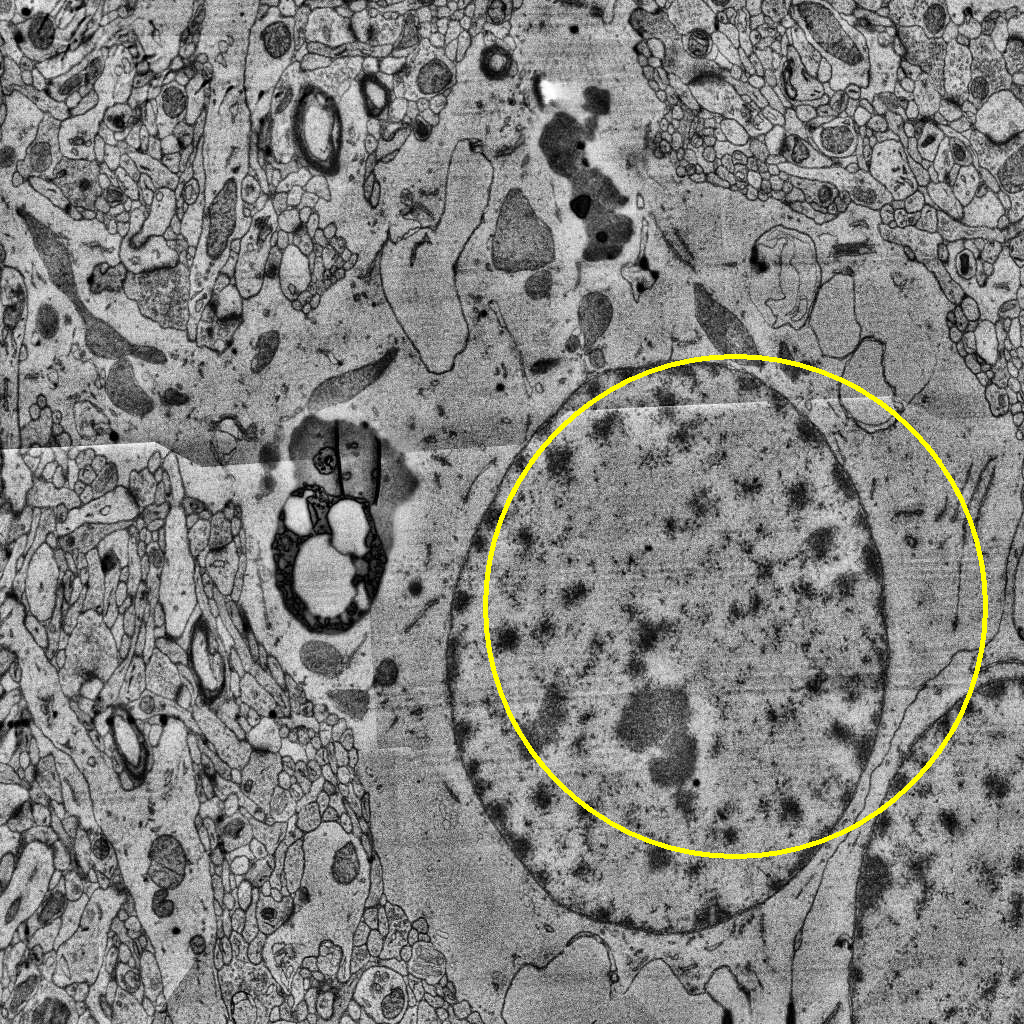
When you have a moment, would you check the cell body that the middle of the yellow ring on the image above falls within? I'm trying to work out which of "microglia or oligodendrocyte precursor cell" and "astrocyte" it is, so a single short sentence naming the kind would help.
This cell body belongs to an astrocyte.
